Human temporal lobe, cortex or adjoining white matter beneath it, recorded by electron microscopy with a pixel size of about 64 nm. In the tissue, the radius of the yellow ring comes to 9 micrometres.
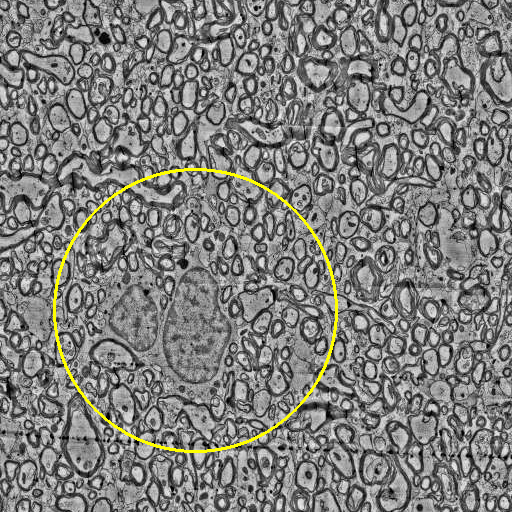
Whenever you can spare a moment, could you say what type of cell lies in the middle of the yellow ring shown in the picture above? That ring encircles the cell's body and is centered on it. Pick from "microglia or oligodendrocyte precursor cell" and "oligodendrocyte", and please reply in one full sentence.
The cell whose body sits at the middle of the yellow ring is an oligodendrocyte.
